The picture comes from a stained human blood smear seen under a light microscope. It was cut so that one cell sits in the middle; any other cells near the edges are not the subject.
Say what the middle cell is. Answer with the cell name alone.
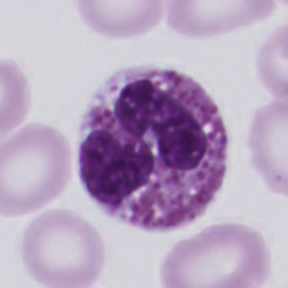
eosinophil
